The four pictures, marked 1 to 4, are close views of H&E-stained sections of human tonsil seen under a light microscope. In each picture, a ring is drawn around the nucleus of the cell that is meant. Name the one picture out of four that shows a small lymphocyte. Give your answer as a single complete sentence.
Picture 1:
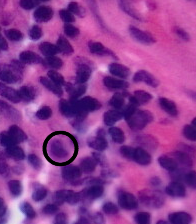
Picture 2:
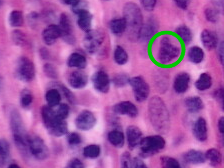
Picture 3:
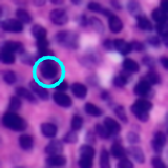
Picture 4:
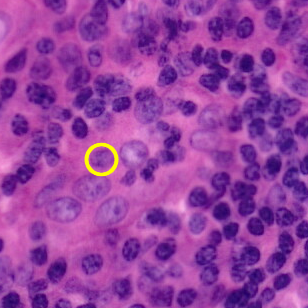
The small lymphocyte is the one in picture 3.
